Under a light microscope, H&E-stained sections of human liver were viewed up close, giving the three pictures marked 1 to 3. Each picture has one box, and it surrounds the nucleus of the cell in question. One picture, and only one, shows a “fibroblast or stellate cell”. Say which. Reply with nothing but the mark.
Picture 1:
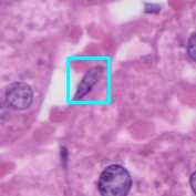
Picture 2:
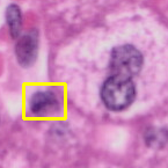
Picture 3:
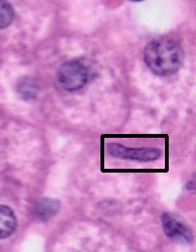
2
